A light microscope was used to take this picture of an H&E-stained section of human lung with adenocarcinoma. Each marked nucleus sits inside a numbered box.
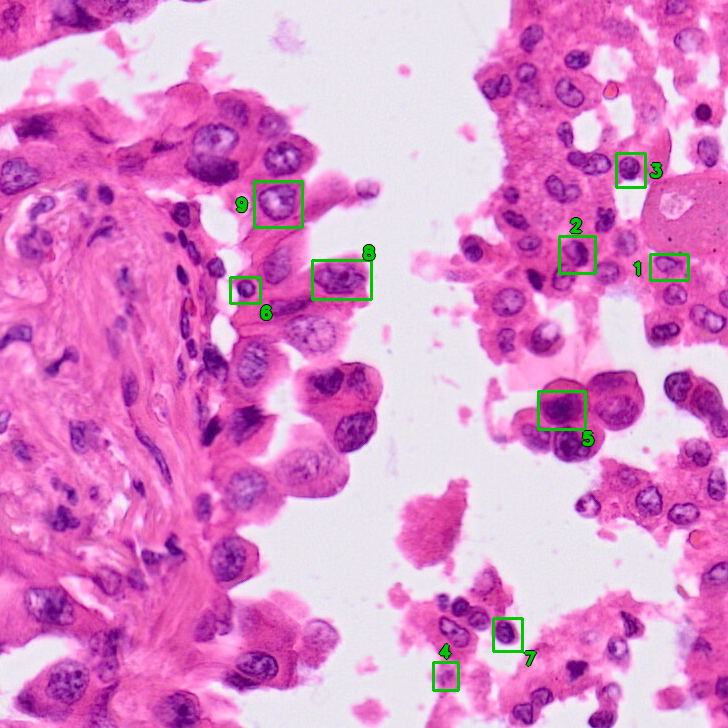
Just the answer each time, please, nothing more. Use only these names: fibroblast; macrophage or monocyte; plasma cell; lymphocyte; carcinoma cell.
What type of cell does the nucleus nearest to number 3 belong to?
macrophage or monocyte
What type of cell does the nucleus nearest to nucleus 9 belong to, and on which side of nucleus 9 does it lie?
a carcinoma cell, above nucleus 9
